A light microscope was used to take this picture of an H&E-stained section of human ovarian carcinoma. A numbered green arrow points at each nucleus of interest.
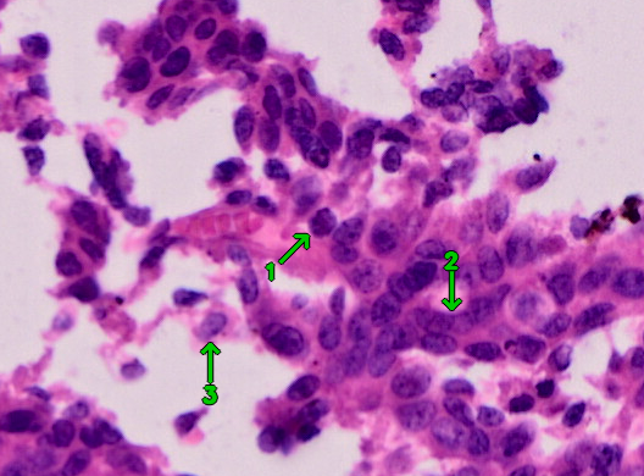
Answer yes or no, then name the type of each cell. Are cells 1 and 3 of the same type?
No, cell 1 here is a carcinoma cell, and cell 3 here is a macrophage or monocyte.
